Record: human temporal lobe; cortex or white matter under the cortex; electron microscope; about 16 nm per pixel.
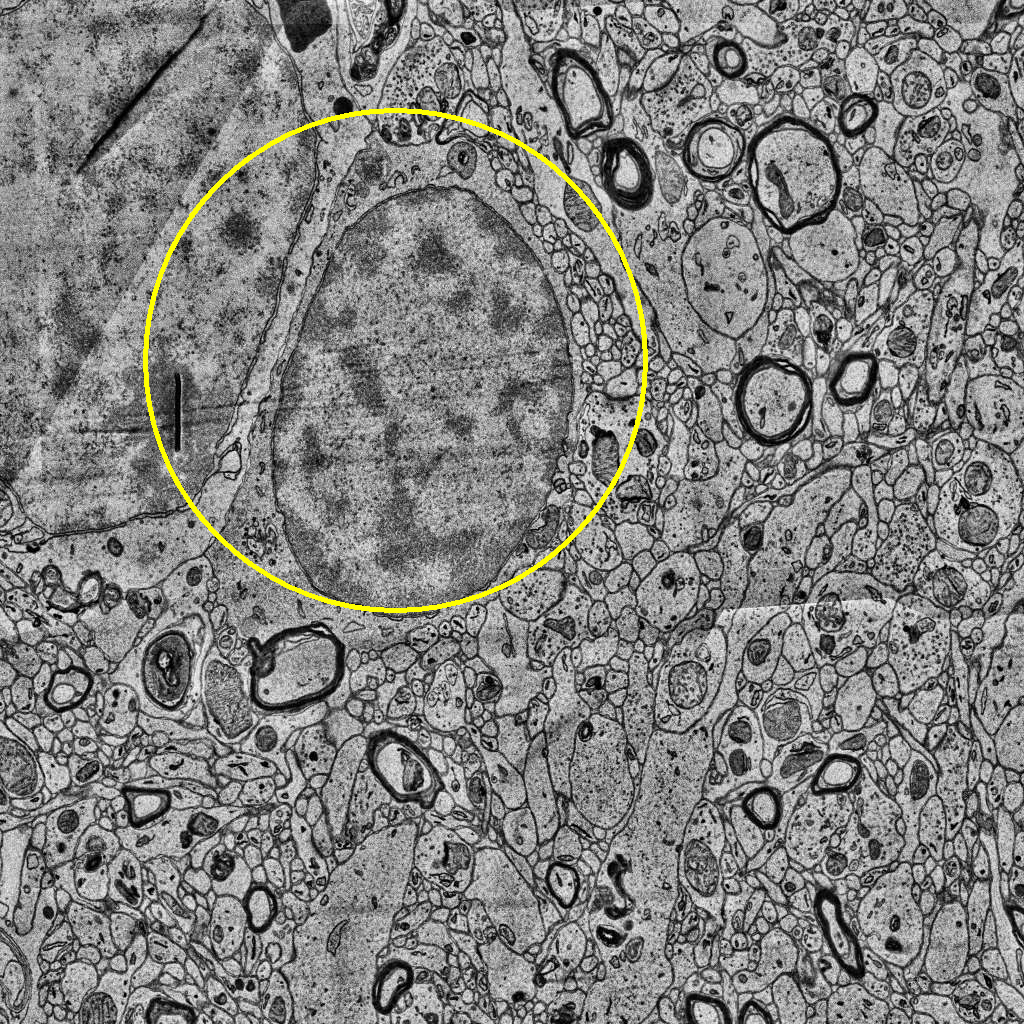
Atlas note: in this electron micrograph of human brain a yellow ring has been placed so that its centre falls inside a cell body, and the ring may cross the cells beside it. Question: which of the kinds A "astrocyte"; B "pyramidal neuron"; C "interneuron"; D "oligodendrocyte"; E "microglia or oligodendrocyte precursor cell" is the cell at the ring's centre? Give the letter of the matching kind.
D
